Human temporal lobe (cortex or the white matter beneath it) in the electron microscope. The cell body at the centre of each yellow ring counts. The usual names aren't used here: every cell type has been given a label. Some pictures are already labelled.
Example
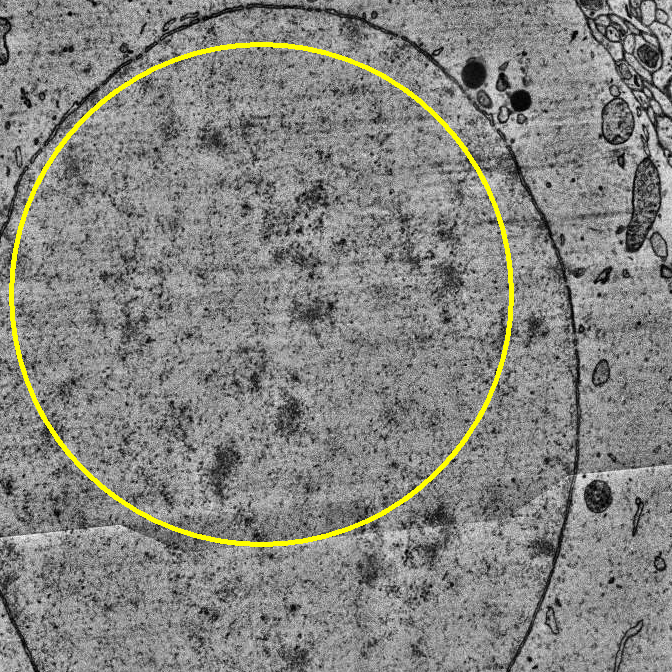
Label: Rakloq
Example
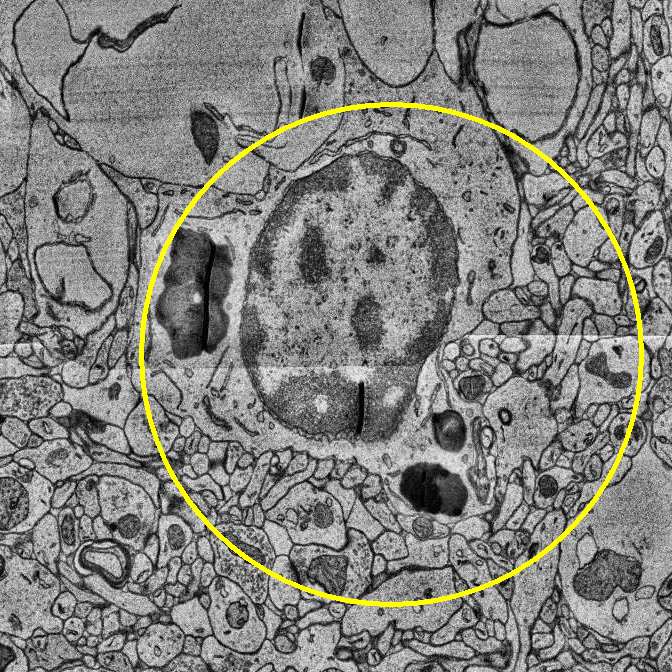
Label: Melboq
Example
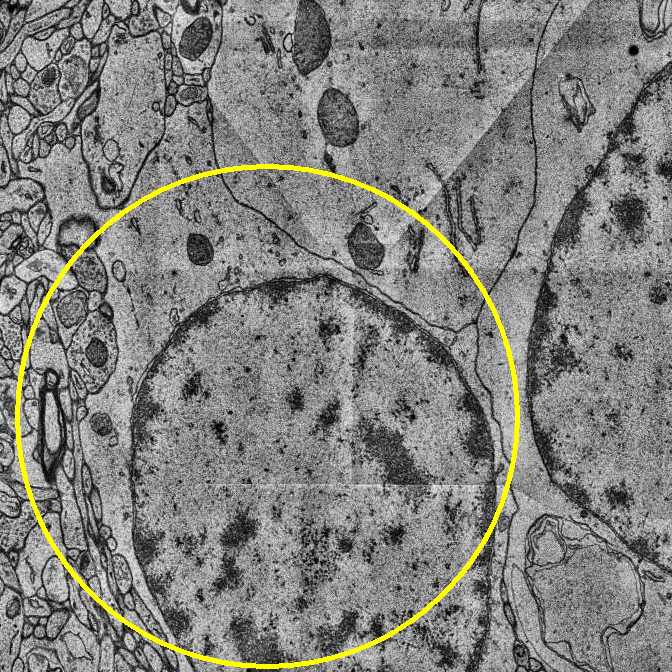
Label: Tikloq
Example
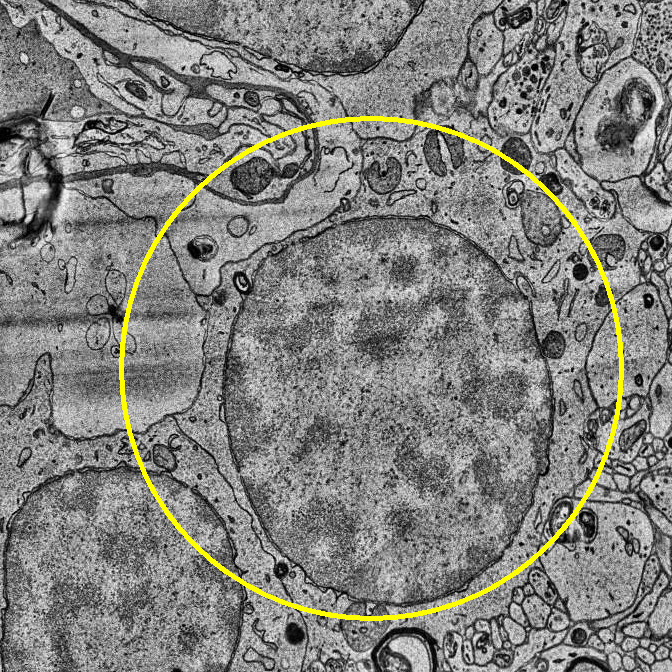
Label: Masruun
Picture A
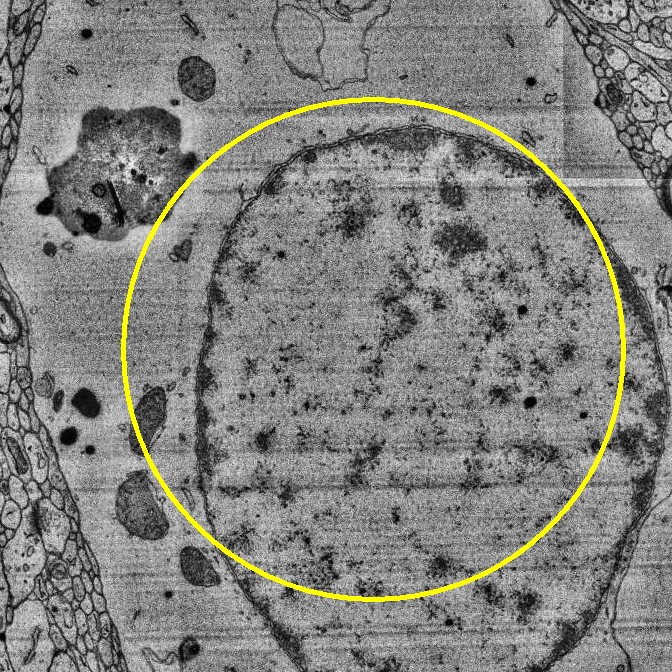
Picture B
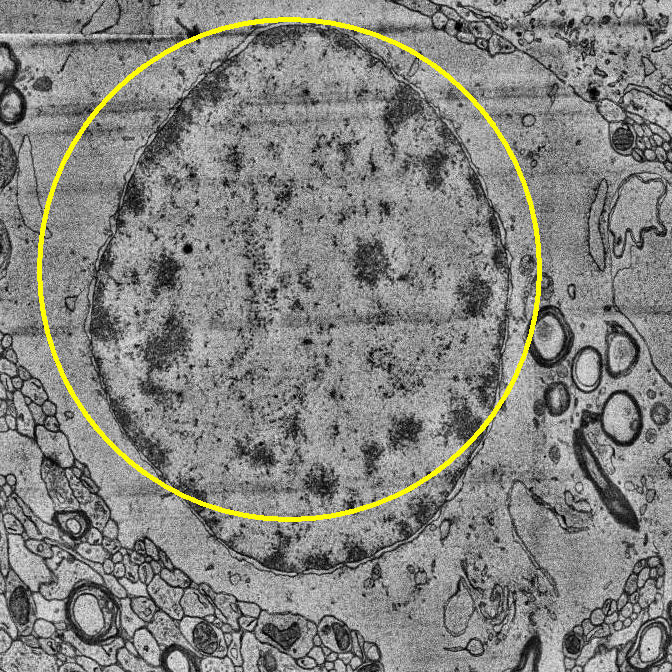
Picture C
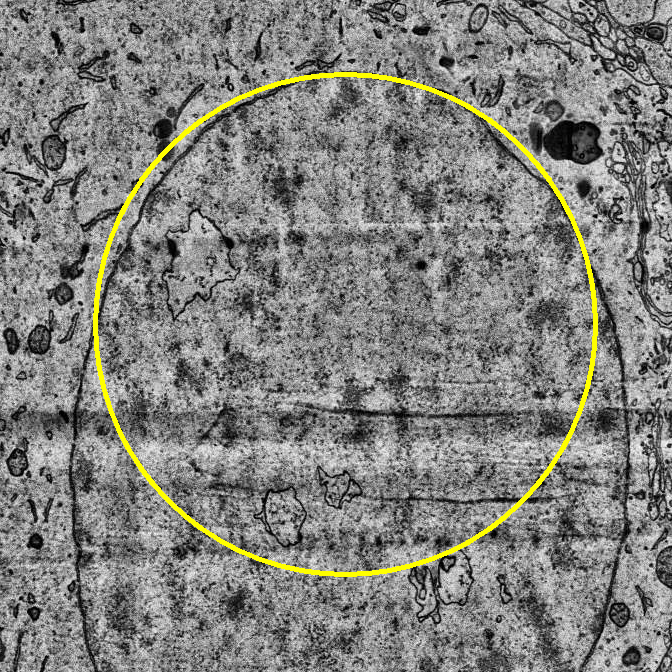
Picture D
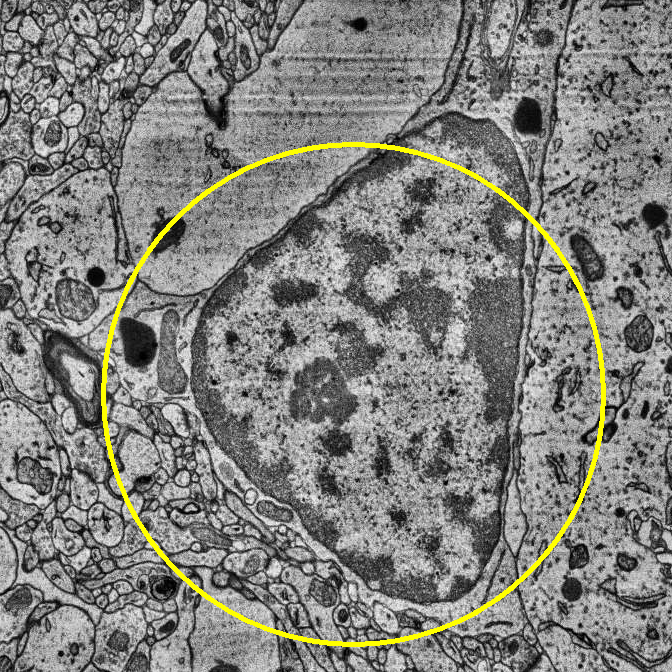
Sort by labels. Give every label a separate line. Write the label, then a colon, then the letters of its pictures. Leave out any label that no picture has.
Rakloq: C
Melboq: D
Tikloq: A, B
